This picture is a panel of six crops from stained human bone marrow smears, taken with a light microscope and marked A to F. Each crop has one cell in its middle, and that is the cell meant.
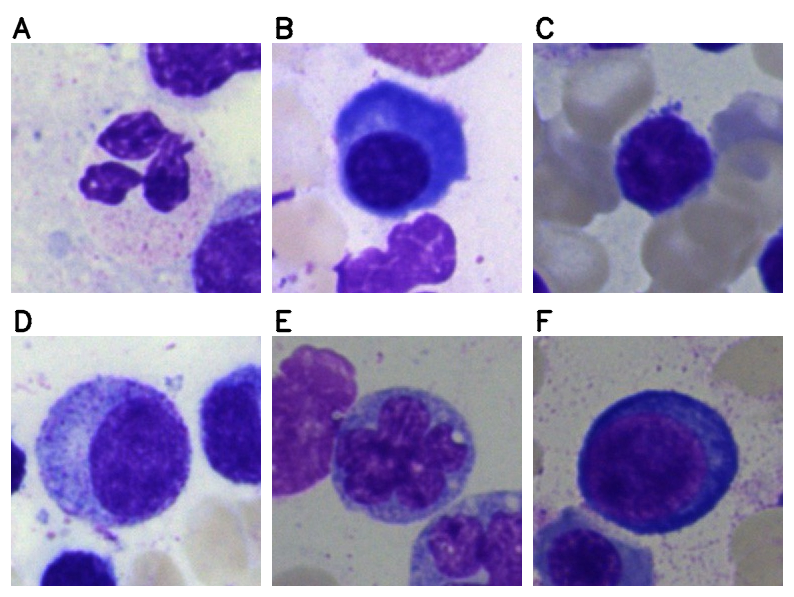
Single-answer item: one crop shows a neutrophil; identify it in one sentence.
That would be crop A; it shows a neutrophil.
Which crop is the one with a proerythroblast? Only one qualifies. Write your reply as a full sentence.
Of the crops shown, crop F depicts a proerythroblast.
